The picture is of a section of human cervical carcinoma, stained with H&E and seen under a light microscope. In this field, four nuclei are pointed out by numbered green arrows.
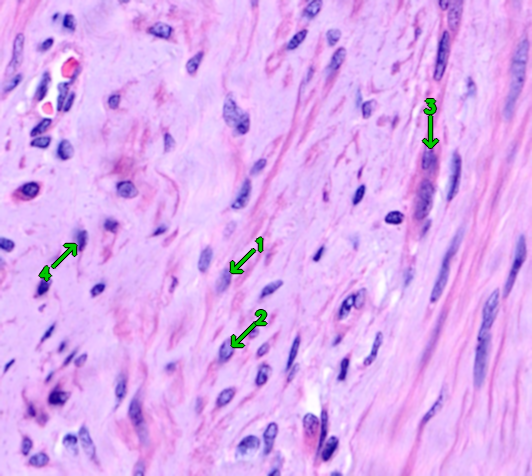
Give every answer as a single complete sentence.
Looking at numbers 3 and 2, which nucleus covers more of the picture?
It is nucleus 3, which covers about 1.5 times the area of nucleus 2.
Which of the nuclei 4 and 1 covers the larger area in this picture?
The larger nucleus is 1, at roughly 2 times the area of 4.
